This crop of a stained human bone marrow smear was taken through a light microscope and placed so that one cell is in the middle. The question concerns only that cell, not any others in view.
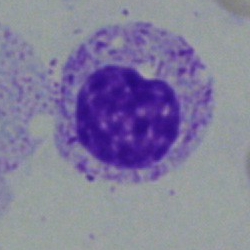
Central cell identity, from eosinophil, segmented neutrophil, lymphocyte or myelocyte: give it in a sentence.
The cell occupying the middle of the crop is a myelocyte.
